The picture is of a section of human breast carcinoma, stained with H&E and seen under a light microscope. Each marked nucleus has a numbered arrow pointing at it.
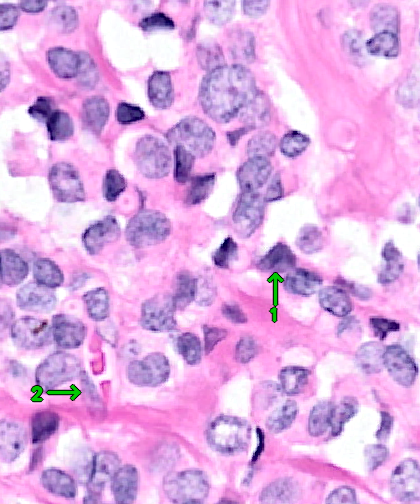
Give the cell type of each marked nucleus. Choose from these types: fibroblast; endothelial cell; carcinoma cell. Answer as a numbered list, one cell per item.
1. carcinoma cell
2. endothelial cell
